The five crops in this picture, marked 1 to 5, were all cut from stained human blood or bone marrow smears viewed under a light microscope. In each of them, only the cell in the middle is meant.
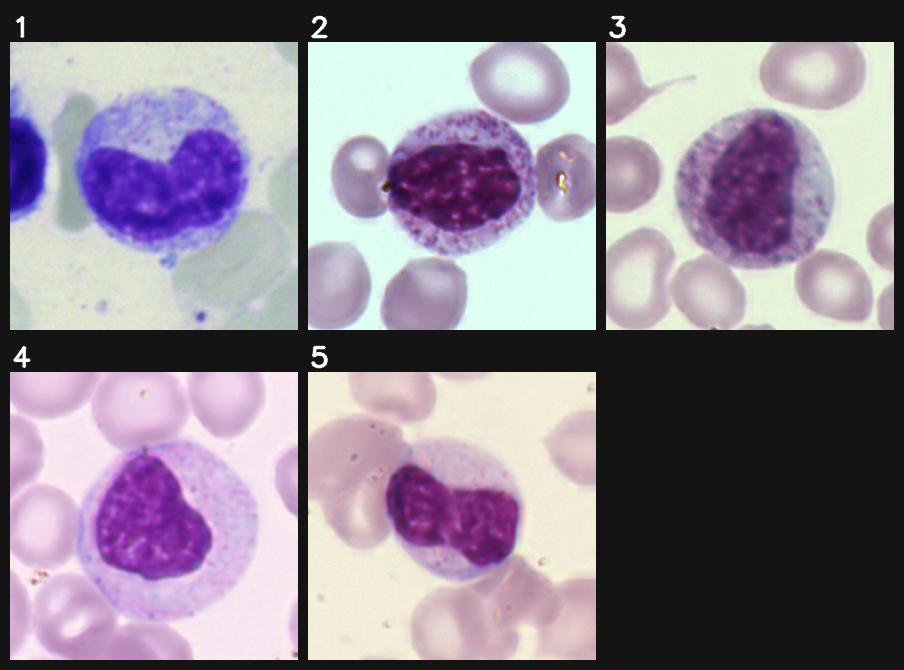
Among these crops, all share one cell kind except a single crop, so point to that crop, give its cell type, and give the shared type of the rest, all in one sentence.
There is a band neutrophil in crop 1, while all the other crops show metamyelocytes.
